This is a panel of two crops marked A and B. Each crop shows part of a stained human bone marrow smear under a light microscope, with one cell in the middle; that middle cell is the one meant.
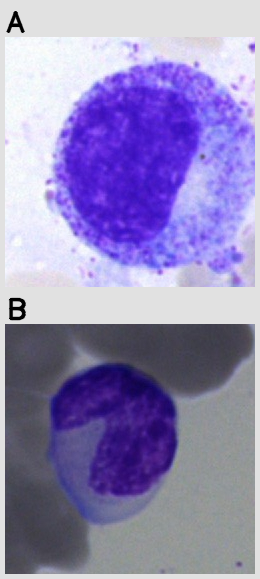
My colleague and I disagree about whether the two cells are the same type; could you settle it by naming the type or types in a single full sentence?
No, a monocyte is the cell of crop B, while a promyelocyte is the cell of crop A.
